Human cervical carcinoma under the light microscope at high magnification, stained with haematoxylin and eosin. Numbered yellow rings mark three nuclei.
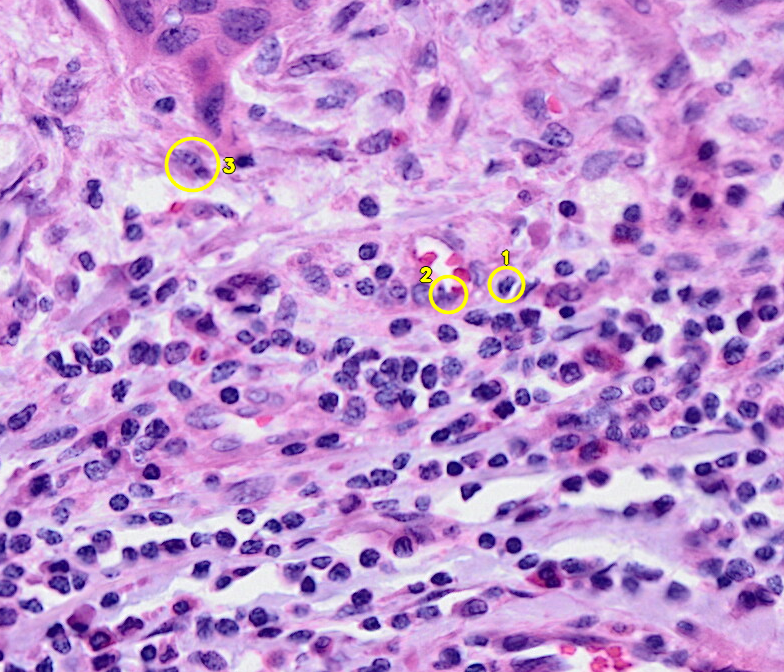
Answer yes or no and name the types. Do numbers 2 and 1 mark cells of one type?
No, cell 2 is an endothelial cell and cell 1 is a lymphocyte.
